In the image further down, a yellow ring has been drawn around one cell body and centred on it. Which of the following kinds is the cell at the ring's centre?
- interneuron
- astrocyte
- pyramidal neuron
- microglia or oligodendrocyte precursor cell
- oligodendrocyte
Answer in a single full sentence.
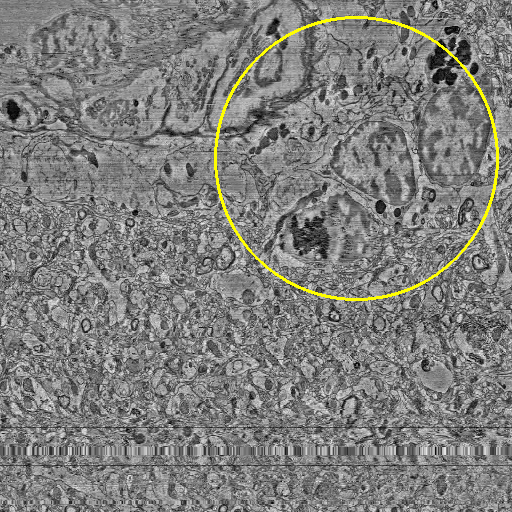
In the picture, the cell sitting at the centre of the yellow ring is a microglial cell or oligodendrocyte precursor cell.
